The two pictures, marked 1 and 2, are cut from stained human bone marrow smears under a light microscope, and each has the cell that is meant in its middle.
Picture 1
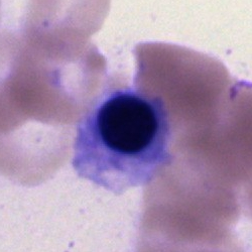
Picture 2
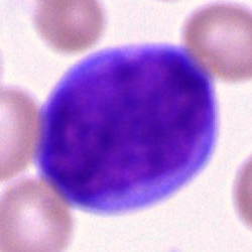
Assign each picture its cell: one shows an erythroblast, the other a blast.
1: erythroblast
2: blast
